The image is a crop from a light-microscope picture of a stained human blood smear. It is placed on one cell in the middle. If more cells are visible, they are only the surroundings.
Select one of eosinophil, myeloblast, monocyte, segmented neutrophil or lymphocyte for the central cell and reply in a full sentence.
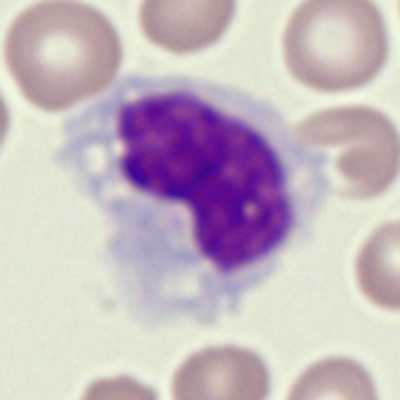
Whatever else lies nearby, the middle cell is a monocyte.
